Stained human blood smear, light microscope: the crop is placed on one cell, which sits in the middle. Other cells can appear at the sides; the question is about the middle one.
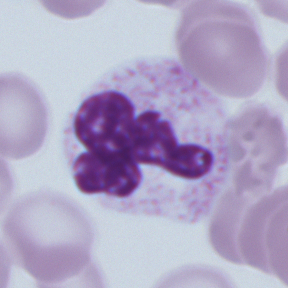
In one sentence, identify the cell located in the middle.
The cell the crop is centered on is a segmented neutrophil.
